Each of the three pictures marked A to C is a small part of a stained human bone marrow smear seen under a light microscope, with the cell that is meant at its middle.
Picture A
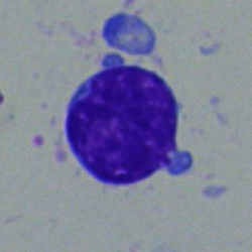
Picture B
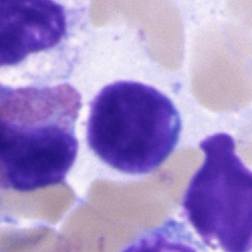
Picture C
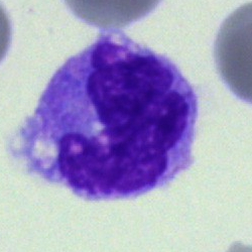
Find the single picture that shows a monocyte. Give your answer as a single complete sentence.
The monocyte is the one in picture C.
